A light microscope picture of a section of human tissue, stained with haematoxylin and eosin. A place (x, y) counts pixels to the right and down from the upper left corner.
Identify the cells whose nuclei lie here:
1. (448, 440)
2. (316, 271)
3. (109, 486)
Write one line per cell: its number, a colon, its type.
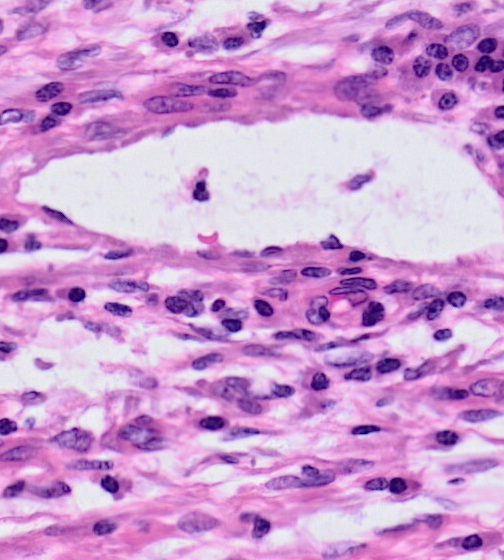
1: plasma cell
2: lymphocyte
3: plasma cell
